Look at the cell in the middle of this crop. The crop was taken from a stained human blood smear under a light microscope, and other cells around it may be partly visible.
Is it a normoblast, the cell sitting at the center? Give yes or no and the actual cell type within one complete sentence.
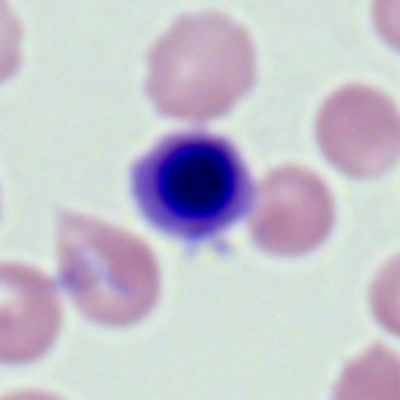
Yes, the cell found in the middle is a normoblast.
